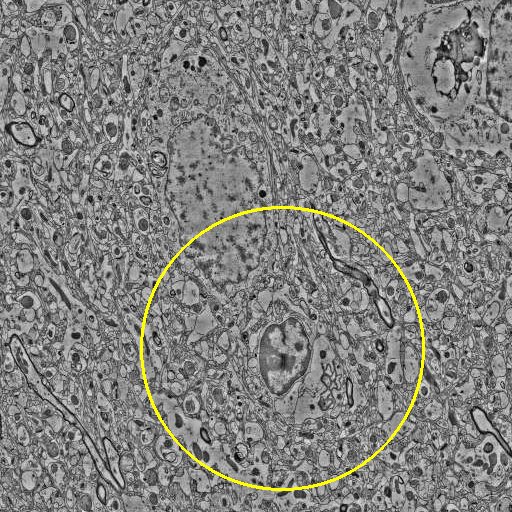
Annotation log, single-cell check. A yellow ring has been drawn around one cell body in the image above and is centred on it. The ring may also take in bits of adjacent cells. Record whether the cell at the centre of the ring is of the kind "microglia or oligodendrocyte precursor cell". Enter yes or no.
yes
